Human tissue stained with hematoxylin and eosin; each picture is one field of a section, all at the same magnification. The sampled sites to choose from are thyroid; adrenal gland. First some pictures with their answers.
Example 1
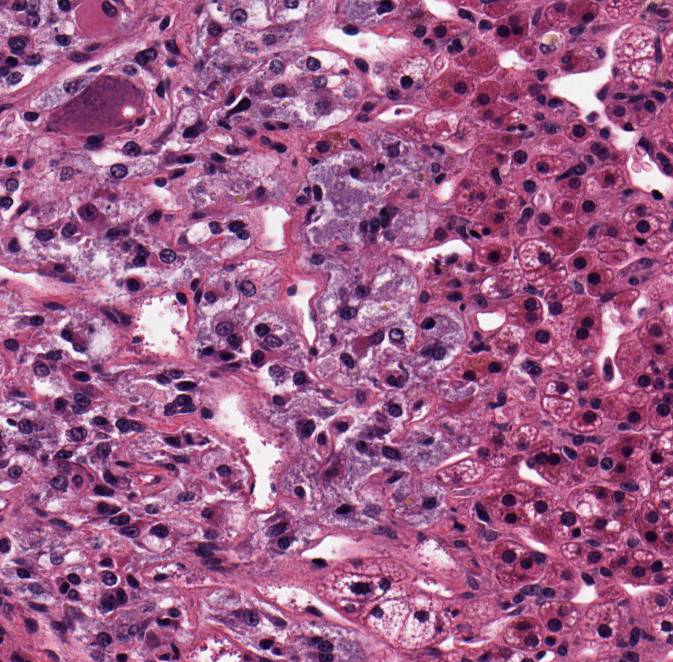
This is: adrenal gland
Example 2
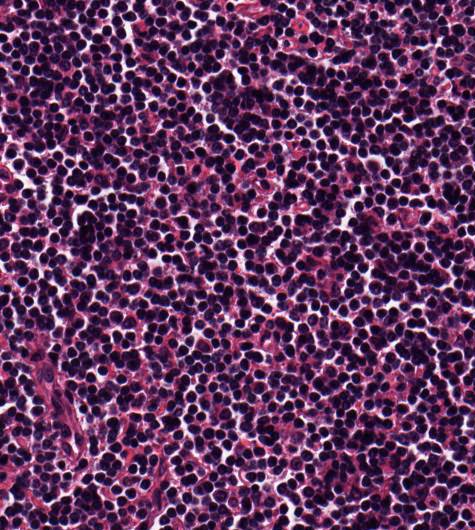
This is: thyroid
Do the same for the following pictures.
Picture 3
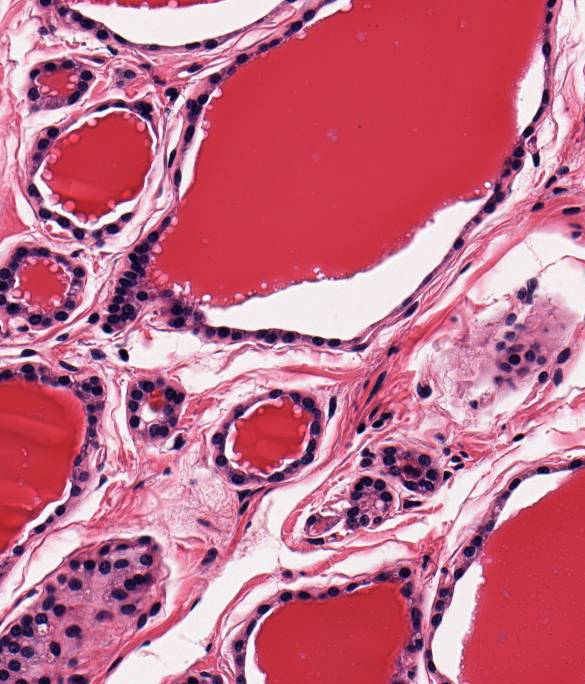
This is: thyroid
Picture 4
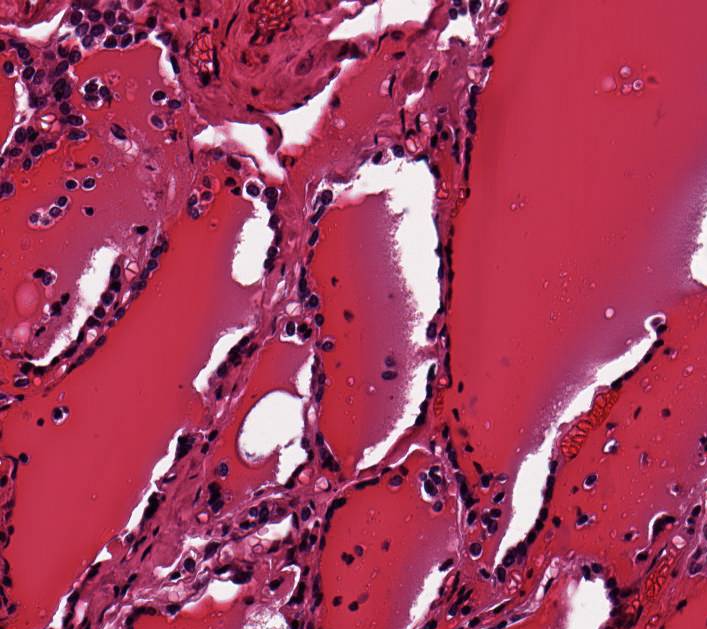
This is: thyroid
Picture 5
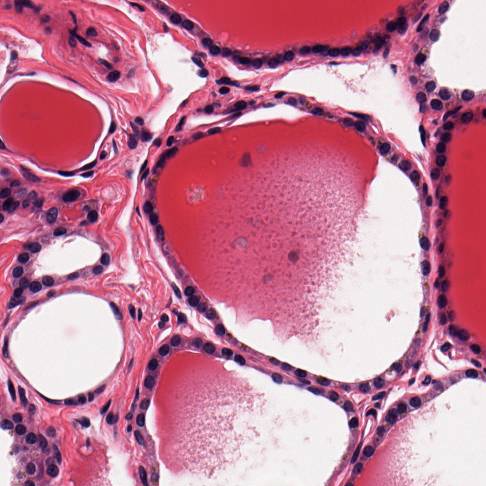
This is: thyroid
